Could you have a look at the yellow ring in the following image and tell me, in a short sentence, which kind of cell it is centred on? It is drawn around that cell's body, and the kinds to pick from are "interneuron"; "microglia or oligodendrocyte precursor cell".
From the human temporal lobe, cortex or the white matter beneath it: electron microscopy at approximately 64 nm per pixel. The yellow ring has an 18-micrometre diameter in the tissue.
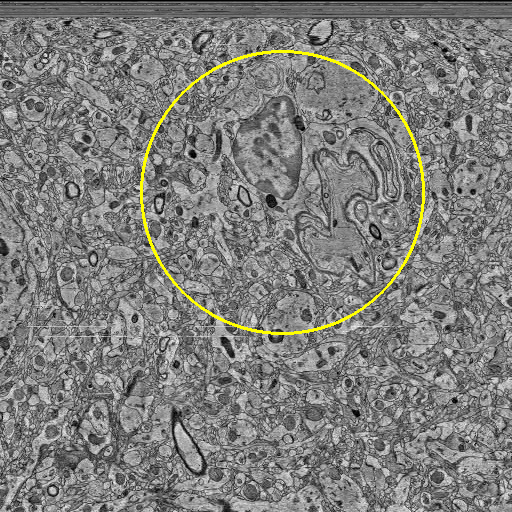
The ring is centred on the body of a microglial cell or oligodendrocyte precursor cell.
